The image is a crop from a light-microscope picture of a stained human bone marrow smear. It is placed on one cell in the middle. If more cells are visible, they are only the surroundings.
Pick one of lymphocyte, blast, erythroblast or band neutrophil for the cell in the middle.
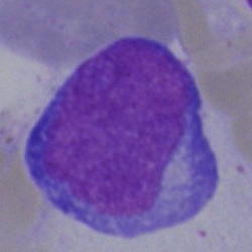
blast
